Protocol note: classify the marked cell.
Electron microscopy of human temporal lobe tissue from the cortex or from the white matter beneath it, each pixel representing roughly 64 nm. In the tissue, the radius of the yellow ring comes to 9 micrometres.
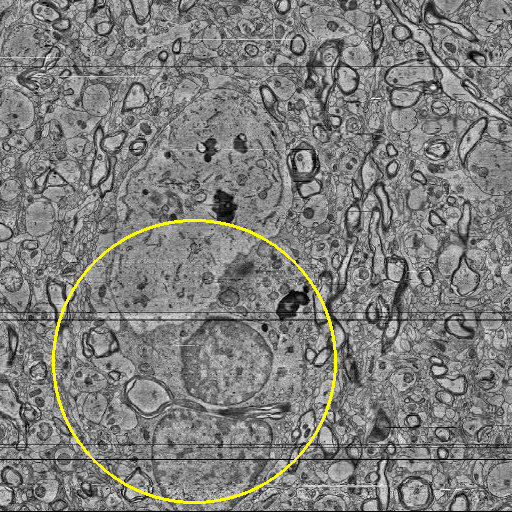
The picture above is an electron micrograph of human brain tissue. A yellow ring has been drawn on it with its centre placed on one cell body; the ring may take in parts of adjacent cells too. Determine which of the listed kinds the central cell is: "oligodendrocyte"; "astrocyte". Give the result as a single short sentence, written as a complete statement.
The central cell is an oligodendrocyte.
